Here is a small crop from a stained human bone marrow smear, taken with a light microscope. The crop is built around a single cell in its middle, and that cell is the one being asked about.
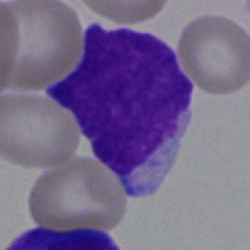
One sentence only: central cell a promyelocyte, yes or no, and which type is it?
No, this cell in the middle is a blast, so it is not a promyelocyte.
